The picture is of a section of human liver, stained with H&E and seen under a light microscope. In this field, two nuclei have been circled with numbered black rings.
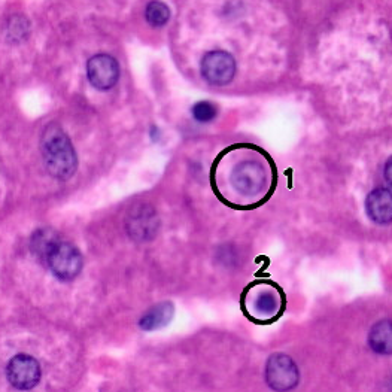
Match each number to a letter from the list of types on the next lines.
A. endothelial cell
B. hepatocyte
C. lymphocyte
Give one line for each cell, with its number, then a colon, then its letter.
1: B
2: C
